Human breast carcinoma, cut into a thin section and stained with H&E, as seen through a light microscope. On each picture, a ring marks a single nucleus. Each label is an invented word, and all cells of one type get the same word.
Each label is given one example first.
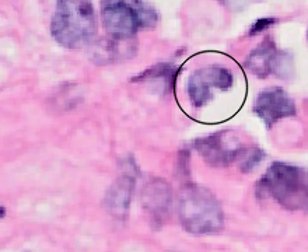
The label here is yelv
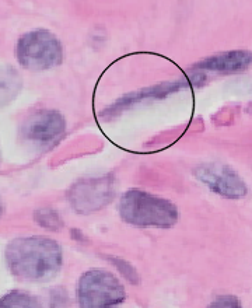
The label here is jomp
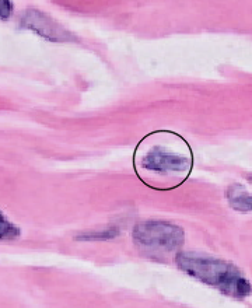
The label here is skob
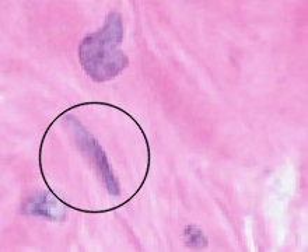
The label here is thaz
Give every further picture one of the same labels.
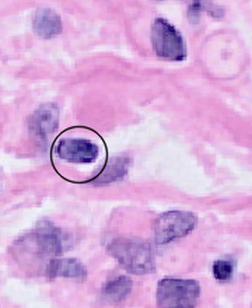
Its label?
skob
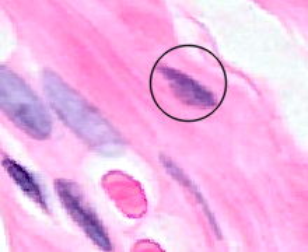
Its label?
thaz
